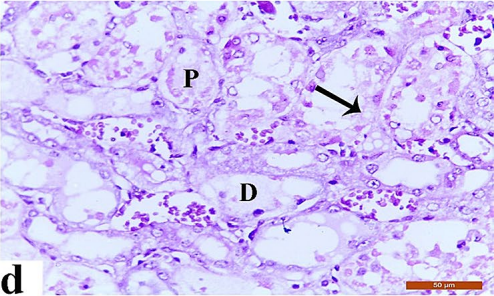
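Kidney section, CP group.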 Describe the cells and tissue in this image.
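Renal cortex with proximal and distal tubules whose epithelial lining is markedly degenerated. Tubule cells are pale, swollen and vacuolated, with clear cytoplasm and few visible nuclei, and some lumens are widened. Red blood cells are scattered in the spaces between tubules, pointing to congestion. The overall architecture is washed-out compared with normal cortex.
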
